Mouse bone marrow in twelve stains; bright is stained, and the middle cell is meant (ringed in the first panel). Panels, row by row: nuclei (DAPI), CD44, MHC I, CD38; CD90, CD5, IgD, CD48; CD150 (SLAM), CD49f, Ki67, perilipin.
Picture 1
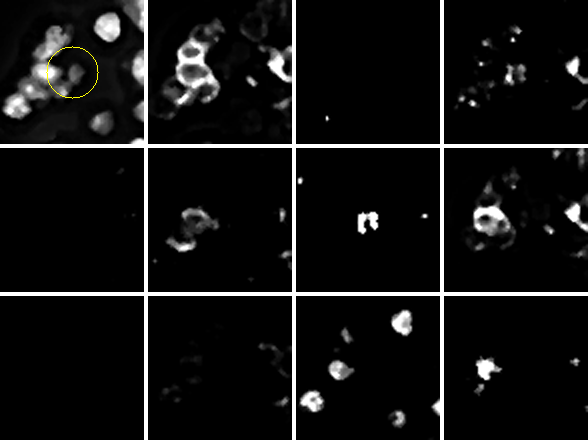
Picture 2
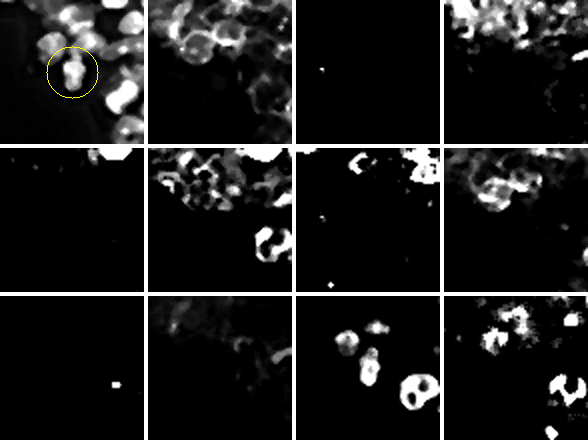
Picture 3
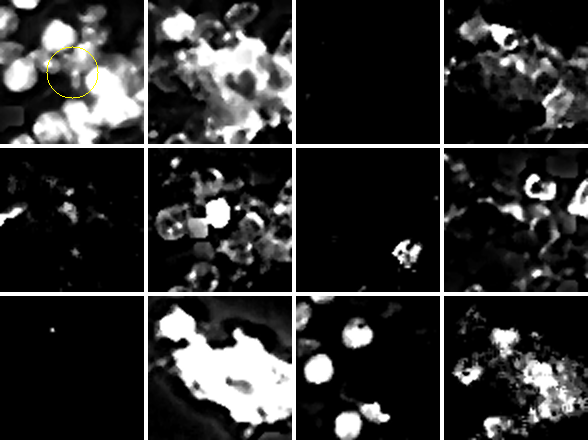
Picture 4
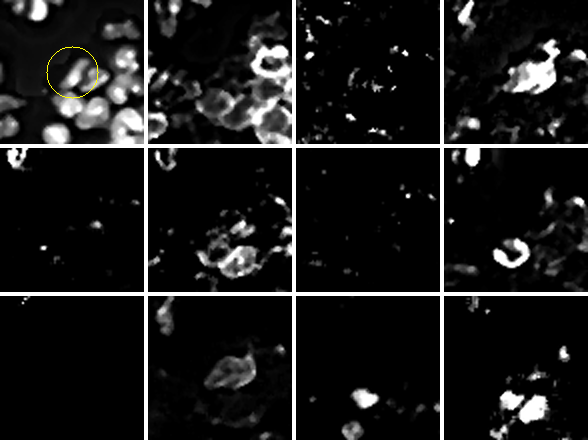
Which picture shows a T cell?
Picture 3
